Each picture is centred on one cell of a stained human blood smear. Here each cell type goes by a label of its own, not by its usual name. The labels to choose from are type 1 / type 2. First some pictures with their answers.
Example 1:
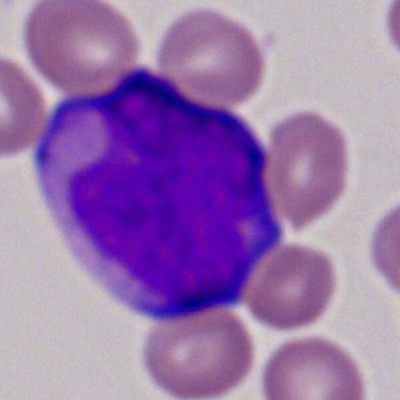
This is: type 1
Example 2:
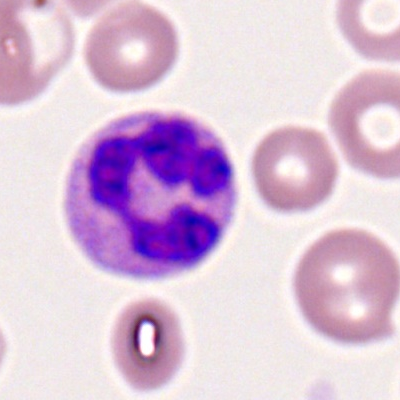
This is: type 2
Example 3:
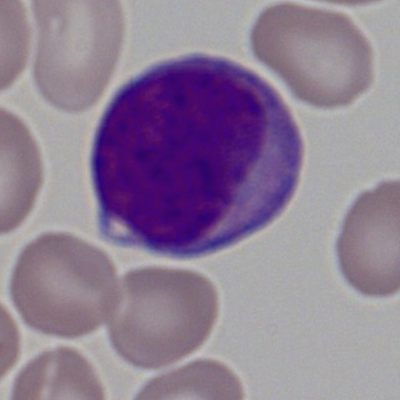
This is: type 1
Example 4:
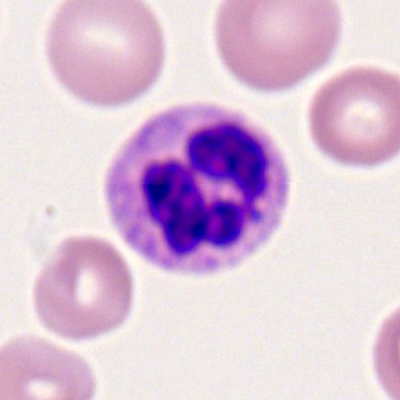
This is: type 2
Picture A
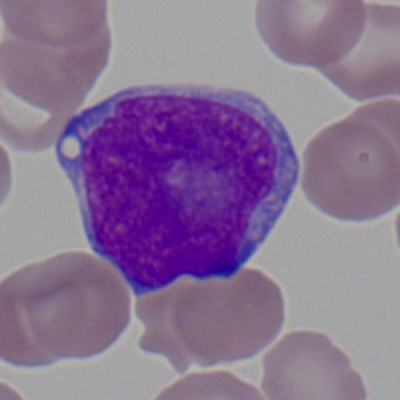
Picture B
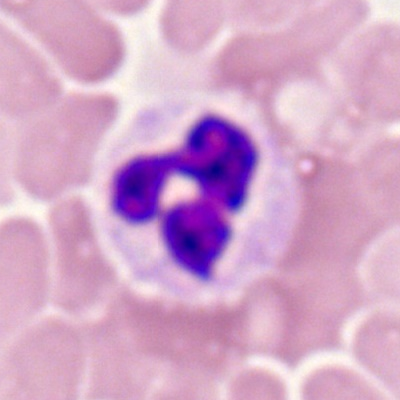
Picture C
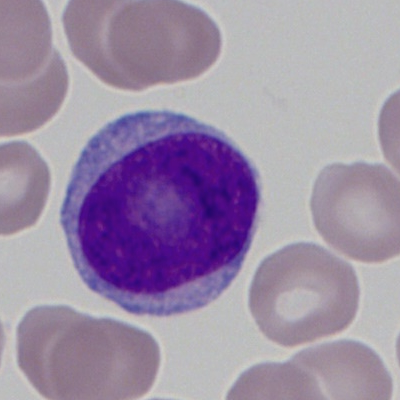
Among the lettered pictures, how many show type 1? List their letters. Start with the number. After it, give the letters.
2, namely A, C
